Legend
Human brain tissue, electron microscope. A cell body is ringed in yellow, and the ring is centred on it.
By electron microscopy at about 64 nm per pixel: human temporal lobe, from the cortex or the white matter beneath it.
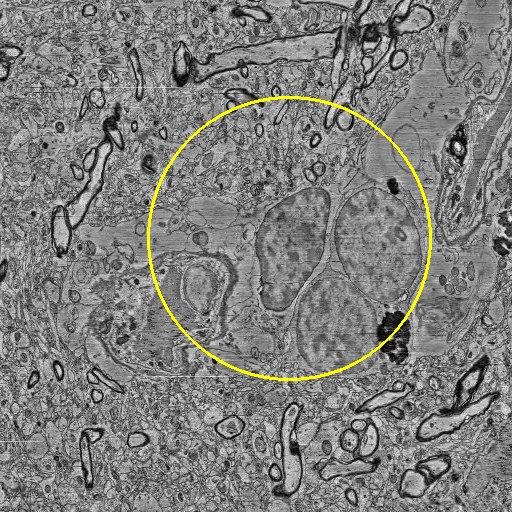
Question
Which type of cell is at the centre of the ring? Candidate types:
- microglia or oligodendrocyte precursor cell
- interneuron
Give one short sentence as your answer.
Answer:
The yellow ring is centred here on a microglial cell or oligodendrocyte precursor cell.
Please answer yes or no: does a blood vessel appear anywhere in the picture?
Yes, there is one.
